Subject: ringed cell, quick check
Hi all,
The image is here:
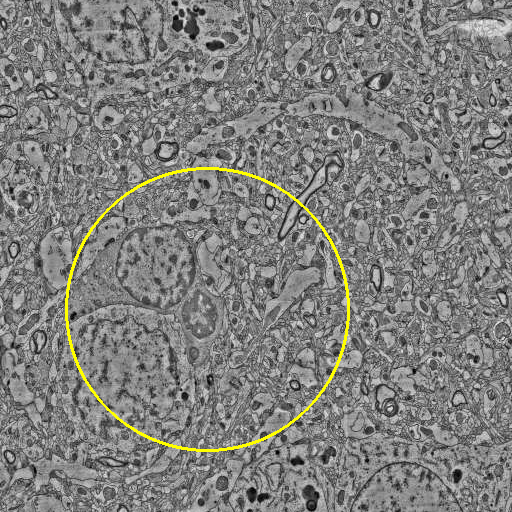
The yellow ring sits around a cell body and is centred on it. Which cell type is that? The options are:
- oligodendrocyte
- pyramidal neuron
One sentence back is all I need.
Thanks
That ringed cell is an oligodendrocyte.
